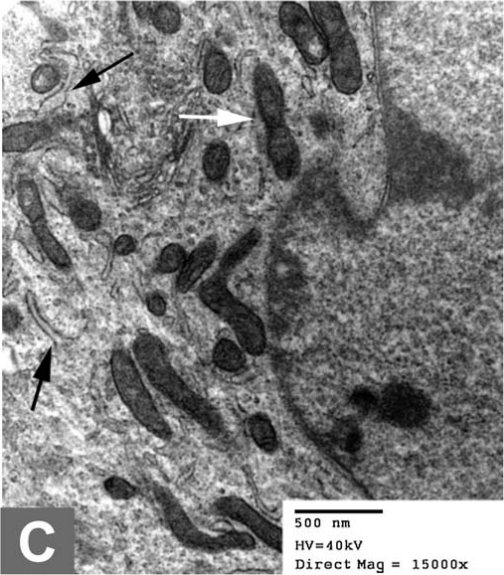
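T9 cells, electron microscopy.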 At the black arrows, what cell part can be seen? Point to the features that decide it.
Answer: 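Thin membrane-bound tubular profiles in the cytoplasm. The answer: endoplasmic reticulum.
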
